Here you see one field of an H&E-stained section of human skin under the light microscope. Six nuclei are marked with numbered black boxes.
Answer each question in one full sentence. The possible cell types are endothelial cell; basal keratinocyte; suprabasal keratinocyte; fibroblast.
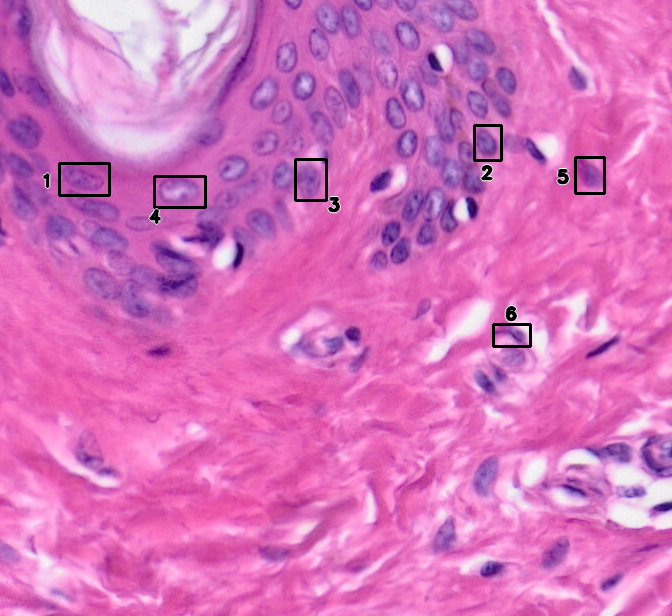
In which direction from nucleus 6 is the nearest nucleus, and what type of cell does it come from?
The nearest nucleus is that of an endothelial cell and lies below nucleus 6.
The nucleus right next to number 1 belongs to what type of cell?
The cell nearest to number 1 is a suprabasal keratinocyte.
